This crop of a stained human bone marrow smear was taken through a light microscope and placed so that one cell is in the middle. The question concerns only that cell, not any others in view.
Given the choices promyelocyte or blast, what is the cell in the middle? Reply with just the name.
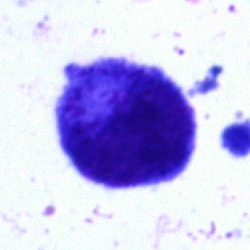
promyelocyte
